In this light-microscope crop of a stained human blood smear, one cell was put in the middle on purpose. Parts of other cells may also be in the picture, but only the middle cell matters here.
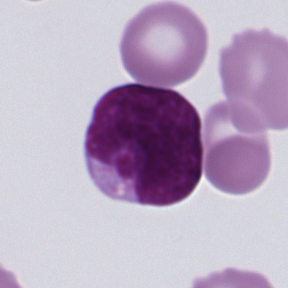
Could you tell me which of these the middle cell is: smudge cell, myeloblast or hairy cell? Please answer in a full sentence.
Within this crop, a myeloblast occupies the central position.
